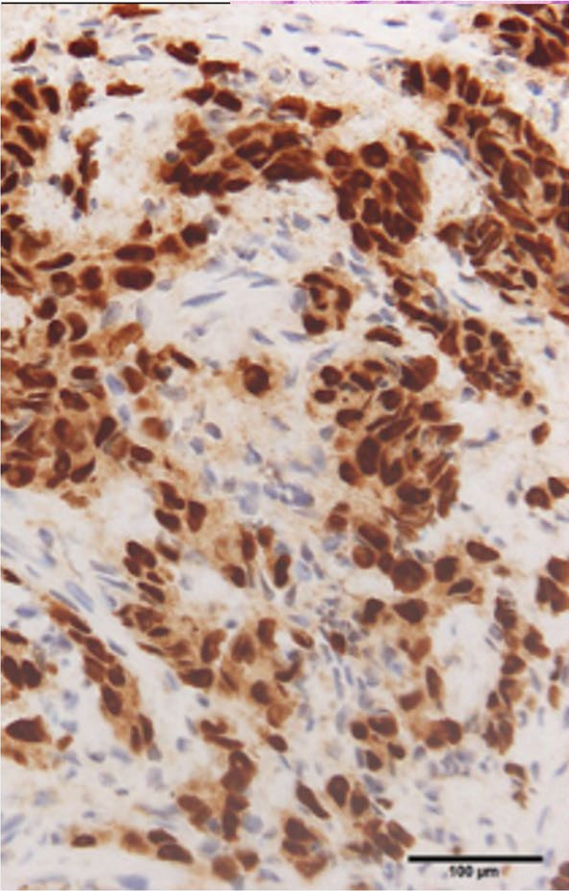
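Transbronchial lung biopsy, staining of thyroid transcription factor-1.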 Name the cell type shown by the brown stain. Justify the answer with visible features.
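Tumor cells. Brown-stained cells are large, with enlarged, irregular nuclei. They form crowded clusters and cords. They are set apart from small, pale blue, spindle-shaped stromal cells that are unstained.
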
